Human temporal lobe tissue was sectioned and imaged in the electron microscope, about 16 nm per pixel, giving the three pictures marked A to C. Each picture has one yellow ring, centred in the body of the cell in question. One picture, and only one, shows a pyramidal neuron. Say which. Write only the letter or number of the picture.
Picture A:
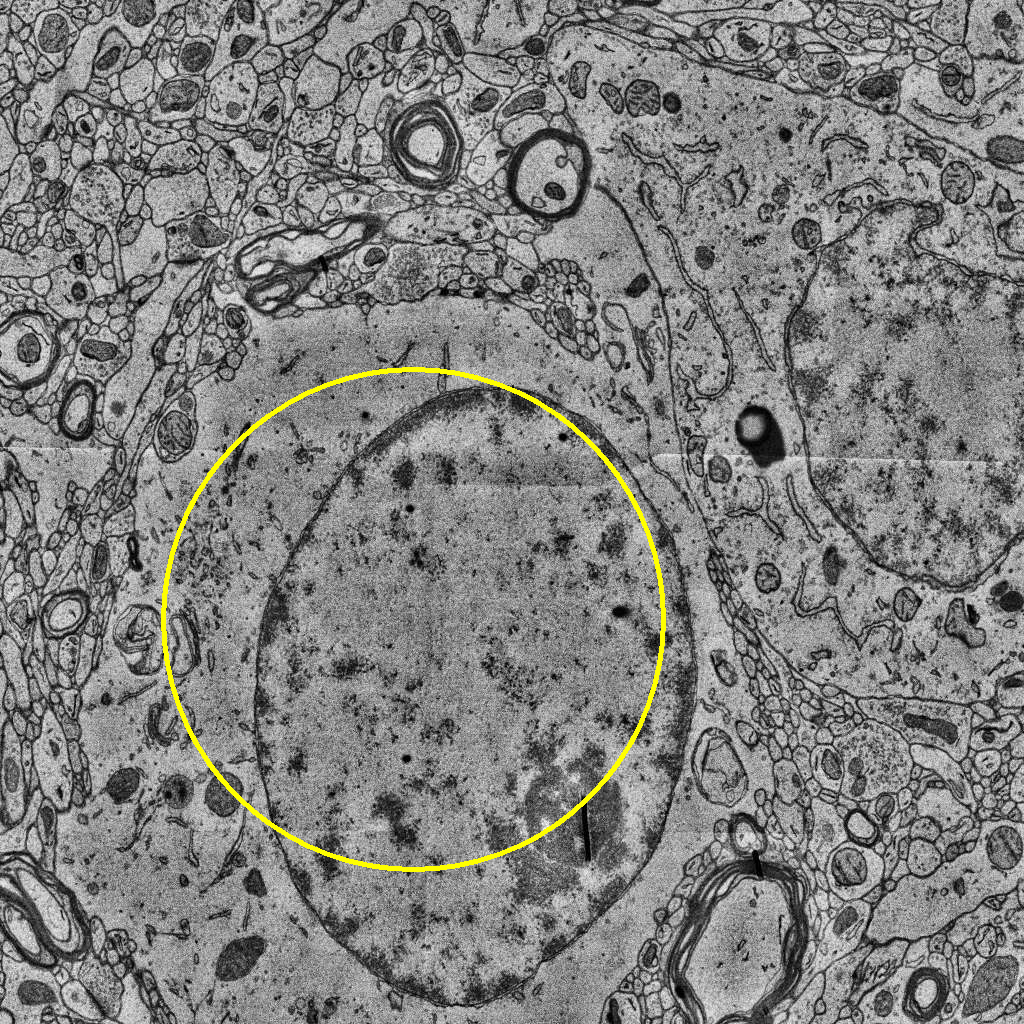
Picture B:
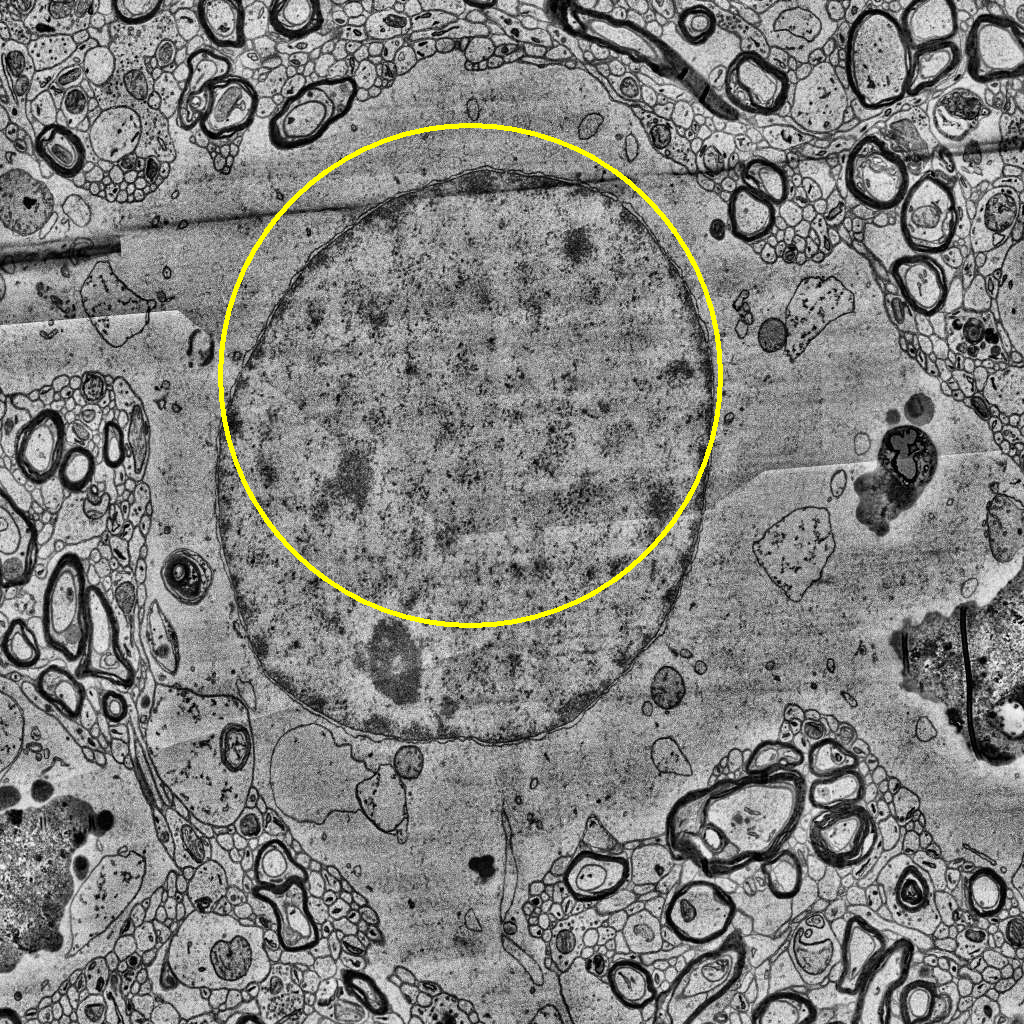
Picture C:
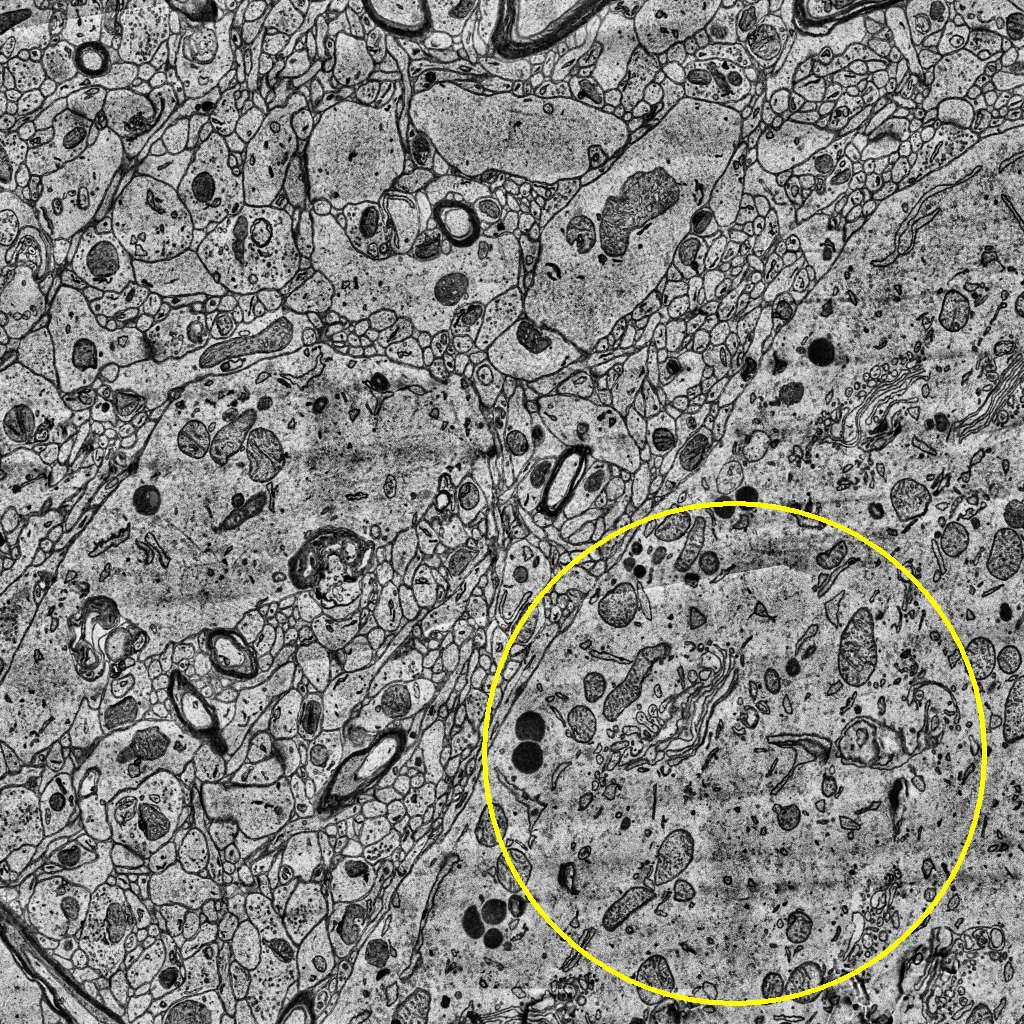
C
